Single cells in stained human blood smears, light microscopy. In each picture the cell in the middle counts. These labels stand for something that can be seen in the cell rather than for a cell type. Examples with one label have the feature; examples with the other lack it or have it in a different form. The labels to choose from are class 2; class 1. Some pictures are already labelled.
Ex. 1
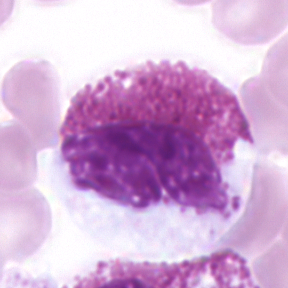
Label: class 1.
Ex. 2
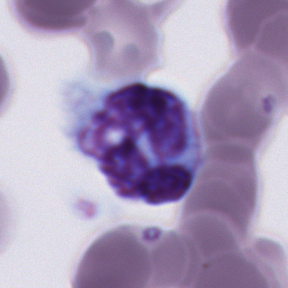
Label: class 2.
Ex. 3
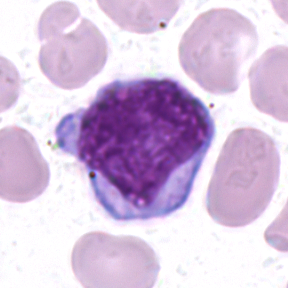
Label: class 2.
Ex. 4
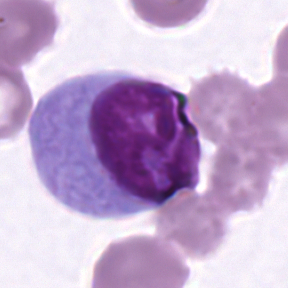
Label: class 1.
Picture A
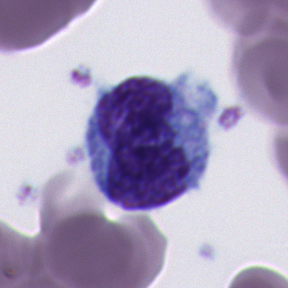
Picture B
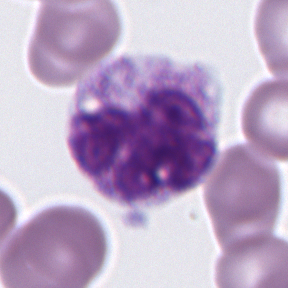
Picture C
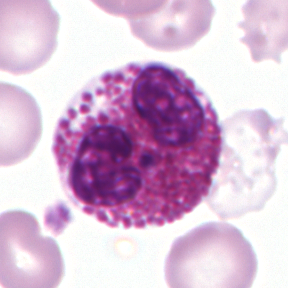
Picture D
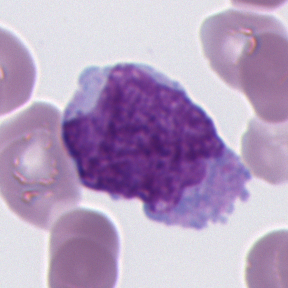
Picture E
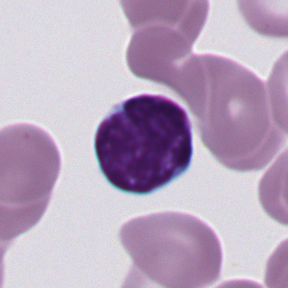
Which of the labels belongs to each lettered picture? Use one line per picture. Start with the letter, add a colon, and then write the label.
A: class 2.
B: class 2.
C: class 1.
D: class 2.
E: class 1.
